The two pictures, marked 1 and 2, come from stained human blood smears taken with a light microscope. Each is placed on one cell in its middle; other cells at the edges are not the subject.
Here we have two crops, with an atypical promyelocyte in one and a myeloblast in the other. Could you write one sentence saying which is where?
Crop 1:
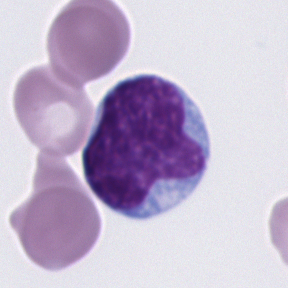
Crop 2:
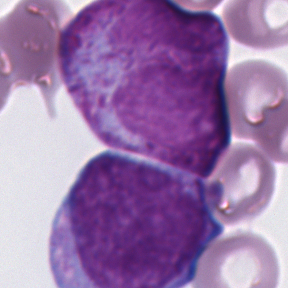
Shown in crop 1 is a myeloblast, and shown in crop 2 is an atypical promyelocyte.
